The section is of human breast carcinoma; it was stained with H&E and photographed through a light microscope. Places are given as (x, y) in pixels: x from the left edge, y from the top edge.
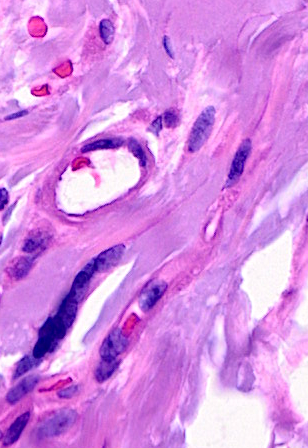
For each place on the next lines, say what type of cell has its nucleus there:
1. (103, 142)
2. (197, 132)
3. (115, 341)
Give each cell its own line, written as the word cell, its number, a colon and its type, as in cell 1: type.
cell 1: endothelial cell
cell 2: fibroblast
cell 3: endothelial cell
